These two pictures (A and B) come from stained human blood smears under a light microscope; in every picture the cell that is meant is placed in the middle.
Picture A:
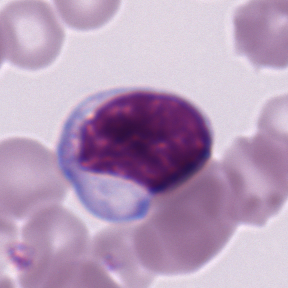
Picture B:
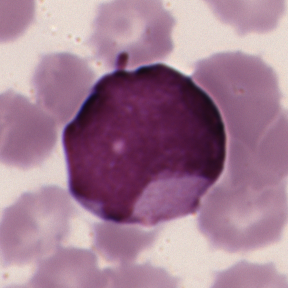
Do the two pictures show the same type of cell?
no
